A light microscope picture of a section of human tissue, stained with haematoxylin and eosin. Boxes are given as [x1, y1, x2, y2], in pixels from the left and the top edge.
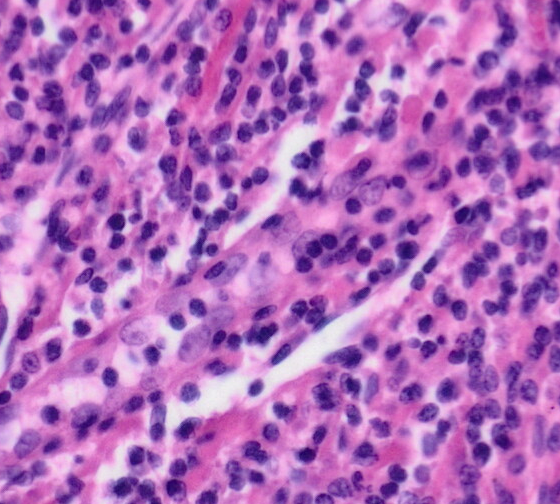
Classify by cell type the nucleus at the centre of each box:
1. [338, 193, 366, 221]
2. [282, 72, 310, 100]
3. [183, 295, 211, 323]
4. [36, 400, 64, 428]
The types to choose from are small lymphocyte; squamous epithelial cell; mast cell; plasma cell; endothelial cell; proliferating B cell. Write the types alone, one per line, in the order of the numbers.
endothelial cell
small lymphocyte
endothelial cell
endothelial cell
